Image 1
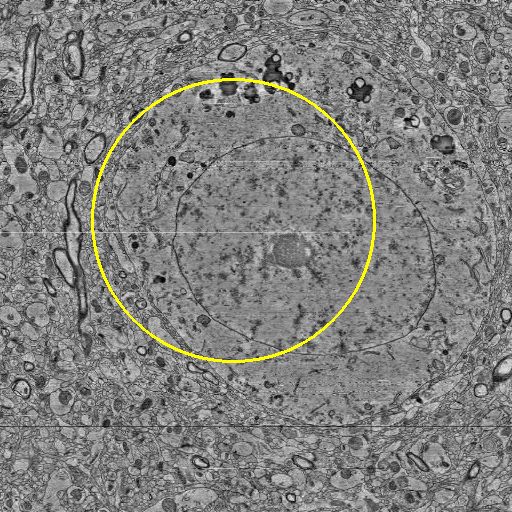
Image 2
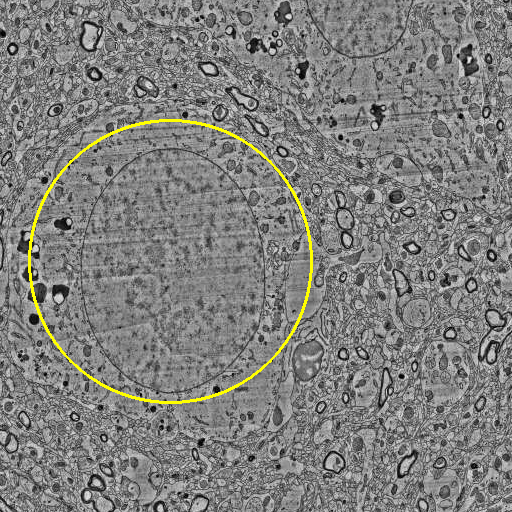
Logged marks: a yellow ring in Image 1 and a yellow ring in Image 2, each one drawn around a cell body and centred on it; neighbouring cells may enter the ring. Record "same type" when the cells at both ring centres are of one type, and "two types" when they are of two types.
same type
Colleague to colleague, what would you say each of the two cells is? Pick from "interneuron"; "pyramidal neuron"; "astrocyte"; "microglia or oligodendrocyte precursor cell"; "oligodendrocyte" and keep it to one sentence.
Each of the two pictures has a pyramidal neuron at the ring centre.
